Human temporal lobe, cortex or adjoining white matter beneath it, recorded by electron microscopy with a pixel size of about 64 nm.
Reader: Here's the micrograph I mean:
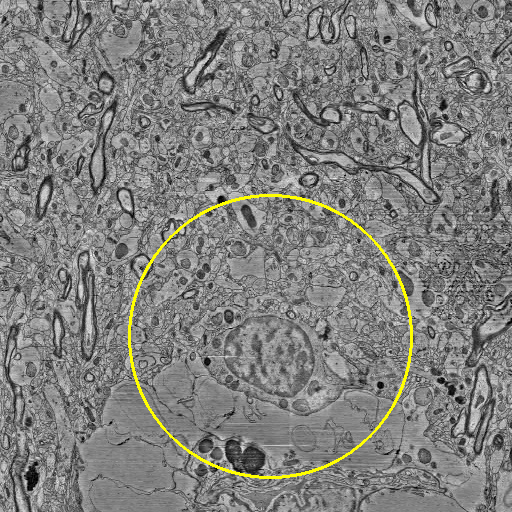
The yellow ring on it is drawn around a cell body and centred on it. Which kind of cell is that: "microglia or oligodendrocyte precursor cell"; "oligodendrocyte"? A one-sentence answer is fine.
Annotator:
The ring is centred on an oligodendrocyte.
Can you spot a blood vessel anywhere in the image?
Yes, a vessel shows somewhere in the image.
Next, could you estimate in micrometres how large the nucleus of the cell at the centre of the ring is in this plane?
In this plane the nucleus measures roughly 6 by 5 micrometers.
